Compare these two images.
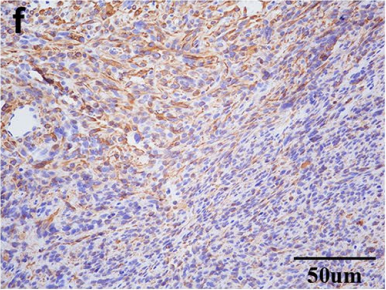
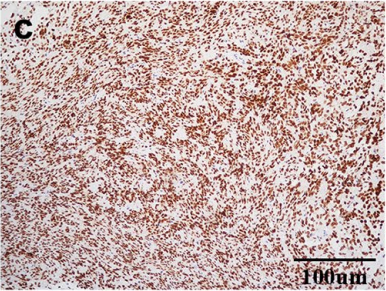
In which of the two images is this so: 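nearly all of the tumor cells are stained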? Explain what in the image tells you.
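The second image. First image: brown staining is patchy, many cells show only blue nuclei. Second image: brown nuclei fill almost the whole field.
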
